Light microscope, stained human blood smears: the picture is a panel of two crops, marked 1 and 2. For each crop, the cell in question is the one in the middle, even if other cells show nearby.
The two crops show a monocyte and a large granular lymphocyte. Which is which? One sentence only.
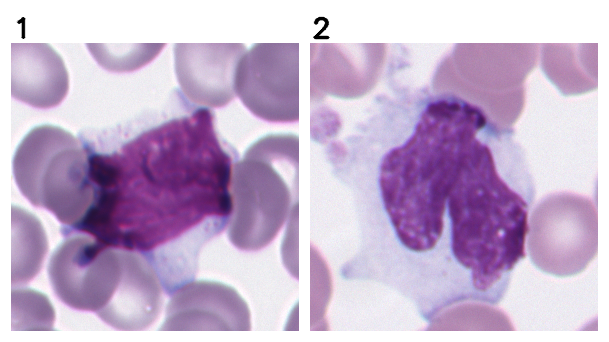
Crop 1 and crop 2 are a large granular lymphocyte and a monocyte, in that order.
